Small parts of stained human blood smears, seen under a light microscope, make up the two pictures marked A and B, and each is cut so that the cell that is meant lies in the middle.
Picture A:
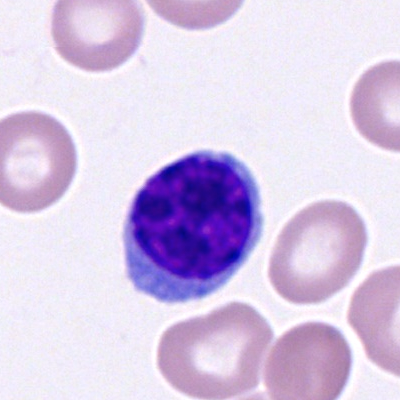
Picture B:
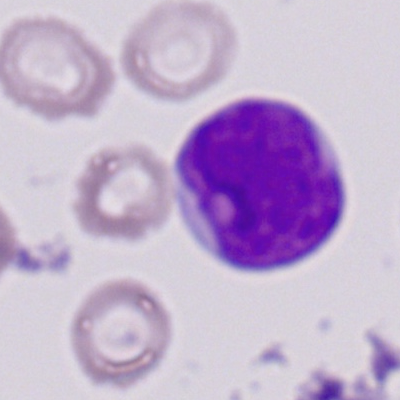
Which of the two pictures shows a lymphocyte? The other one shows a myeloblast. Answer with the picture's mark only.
A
